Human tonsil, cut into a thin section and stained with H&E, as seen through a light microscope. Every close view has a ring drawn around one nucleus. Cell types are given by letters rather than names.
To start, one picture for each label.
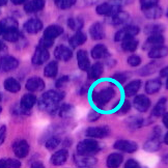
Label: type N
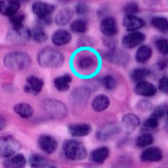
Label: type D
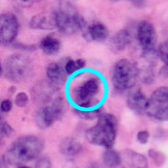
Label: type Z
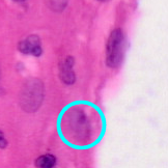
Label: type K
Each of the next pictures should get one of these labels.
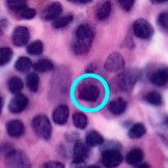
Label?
type D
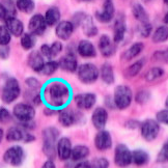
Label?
type N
